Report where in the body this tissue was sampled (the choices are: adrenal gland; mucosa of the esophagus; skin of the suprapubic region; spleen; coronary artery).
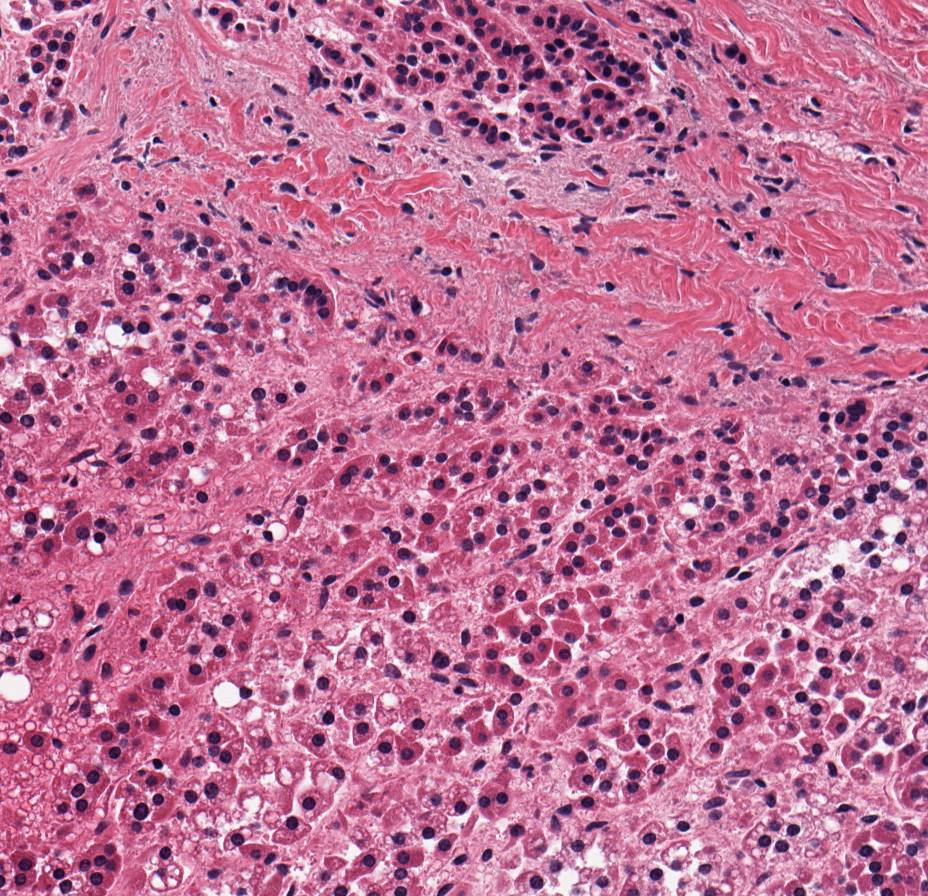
adrenal gland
